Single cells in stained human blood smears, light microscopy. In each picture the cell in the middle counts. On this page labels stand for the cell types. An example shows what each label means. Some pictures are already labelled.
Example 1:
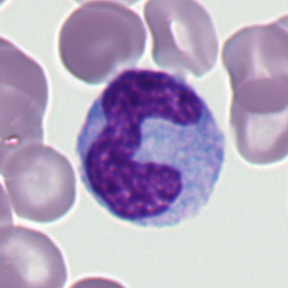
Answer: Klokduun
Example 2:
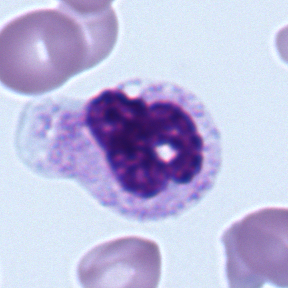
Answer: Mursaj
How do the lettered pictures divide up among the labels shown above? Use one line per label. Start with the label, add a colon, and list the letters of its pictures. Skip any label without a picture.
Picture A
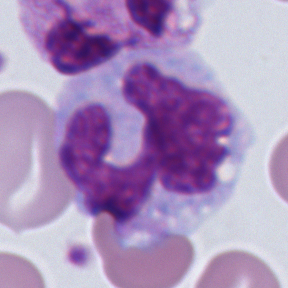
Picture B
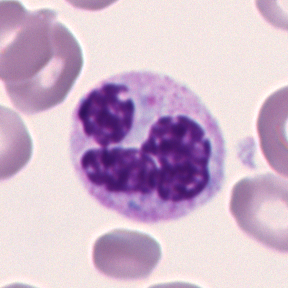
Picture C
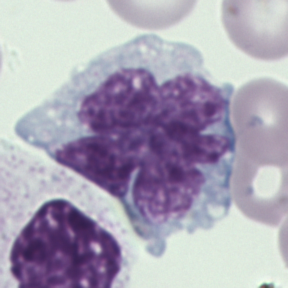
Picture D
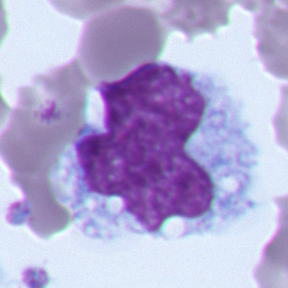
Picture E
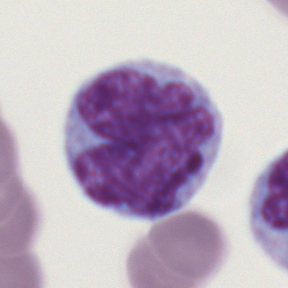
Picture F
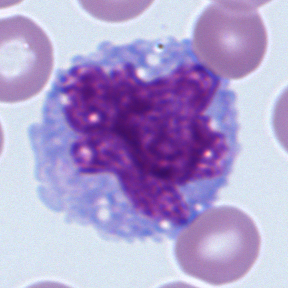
Klokduun: A, C, D, E, F
Mursaj: B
